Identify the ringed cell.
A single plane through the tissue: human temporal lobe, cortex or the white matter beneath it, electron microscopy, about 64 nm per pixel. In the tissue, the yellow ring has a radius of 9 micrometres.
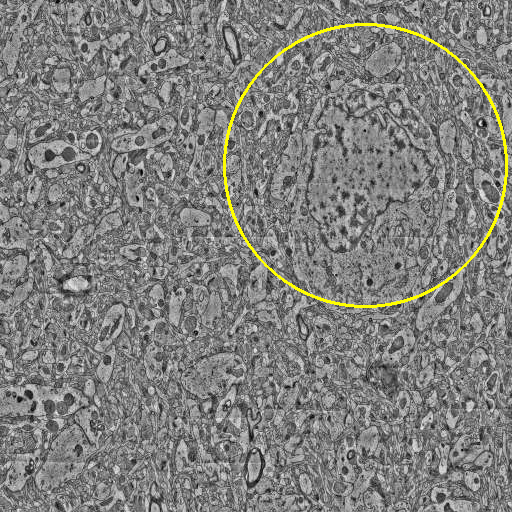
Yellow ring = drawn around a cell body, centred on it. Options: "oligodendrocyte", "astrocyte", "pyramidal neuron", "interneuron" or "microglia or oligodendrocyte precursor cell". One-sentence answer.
What the ring is centred on is an interneuron.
